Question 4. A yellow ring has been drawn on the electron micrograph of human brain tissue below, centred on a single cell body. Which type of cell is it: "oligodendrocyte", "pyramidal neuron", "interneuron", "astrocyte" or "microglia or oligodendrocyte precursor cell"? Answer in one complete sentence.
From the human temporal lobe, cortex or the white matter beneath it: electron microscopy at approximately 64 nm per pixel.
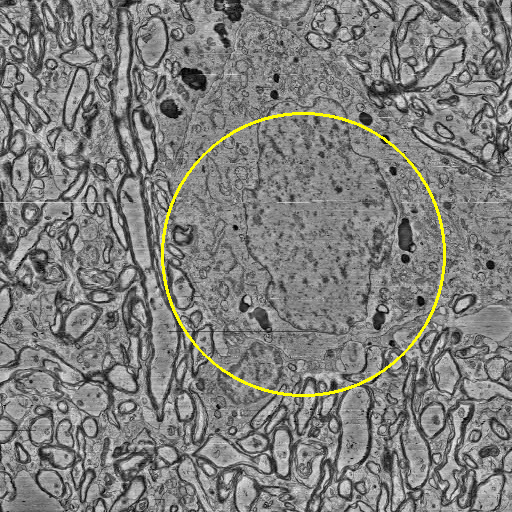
This cell body belongs to a pyramidal neuron.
